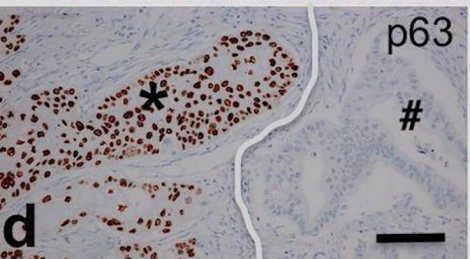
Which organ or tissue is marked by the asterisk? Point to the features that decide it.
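Squamous component. A solid nest of tumour cells at the asterisk has dark brown nuclei. The nest forms no lumen. The gland on the other side has unstained blue nuclei.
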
